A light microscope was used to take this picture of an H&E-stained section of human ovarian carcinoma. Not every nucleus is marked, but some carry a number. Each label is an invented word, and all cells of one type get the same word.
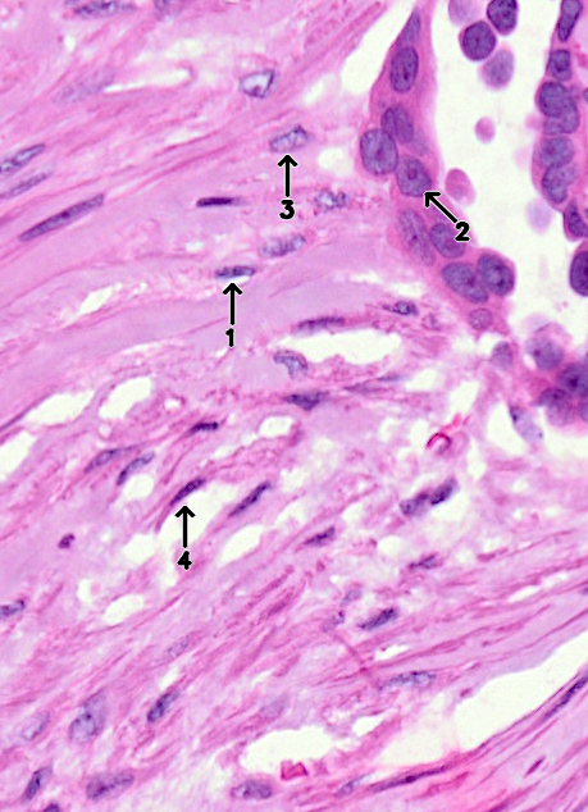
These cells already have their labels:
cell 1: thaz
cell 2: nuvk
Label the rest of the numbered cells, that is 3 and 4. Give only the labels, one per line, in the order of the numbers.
thaz
thaz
